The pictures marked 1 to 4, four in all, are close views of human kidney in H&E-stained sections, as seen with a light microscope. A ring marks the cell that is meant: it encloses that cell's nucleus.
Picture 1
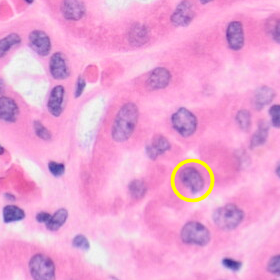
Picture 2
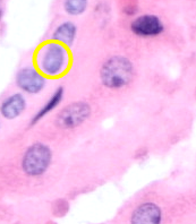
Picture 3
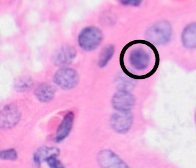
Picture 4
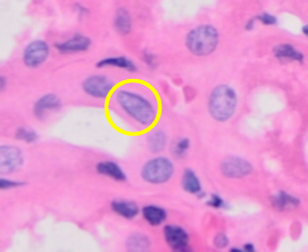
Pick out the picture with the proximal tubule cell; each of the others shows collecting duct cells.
1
